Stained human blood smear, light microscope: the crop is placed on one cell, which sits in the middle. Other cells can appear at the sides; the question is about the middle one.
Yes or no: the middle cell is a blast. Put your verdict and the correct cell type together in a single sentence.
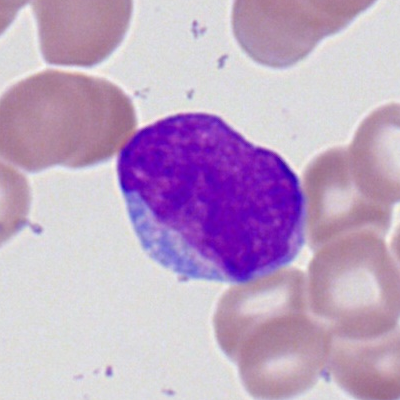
Yes, the cell in the middle of the view is a blast.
